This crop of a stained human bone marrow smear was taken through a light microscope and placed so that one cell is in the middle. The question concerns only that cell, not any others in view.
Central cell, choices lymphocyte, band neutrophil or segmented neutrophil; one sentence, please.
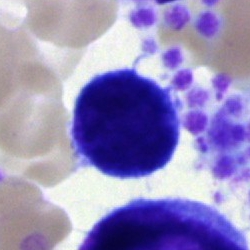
The cell found in the middle of this crop is a lymphocyte.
